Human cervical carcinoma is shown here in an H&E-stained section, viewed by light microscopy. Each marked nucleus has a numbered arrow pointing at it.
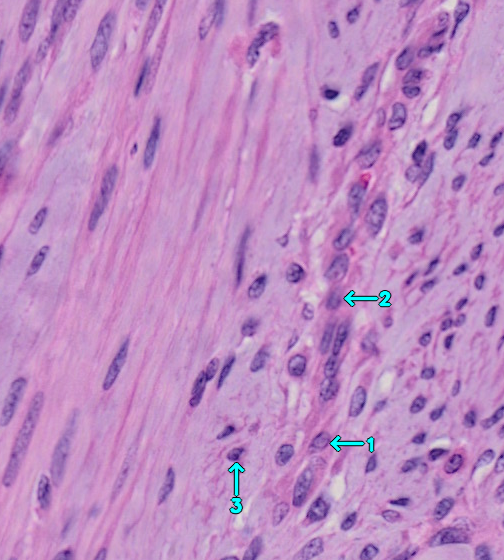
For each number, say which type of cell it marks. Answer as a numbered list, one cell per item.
1. endothelial cell
2. endothelial cell
3. smooth muscle cell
